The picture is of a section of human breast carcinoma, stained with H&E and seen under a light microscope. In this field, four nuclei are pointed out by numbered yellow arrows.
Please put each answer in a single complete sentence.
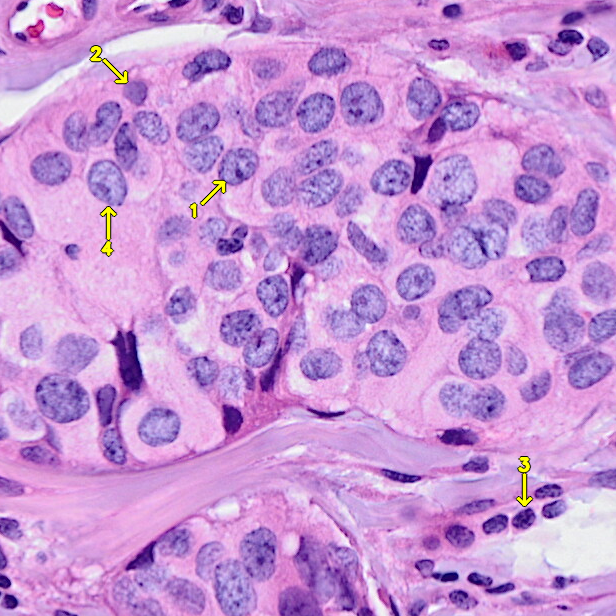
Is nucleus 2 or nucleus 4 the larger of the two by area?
Nucleus 4 is larger, with an area about 3 times that of nucleus 2.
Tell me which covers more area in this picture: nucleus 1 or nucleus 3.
Of the two, number 1 is bigger and takes up about 3 times the area of number 3.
